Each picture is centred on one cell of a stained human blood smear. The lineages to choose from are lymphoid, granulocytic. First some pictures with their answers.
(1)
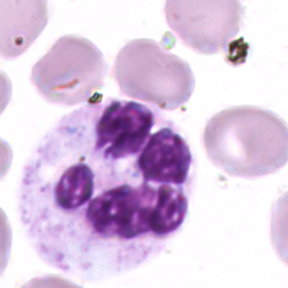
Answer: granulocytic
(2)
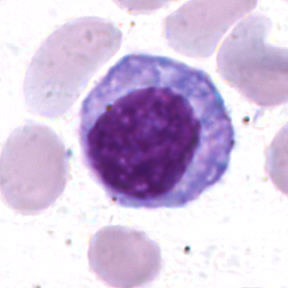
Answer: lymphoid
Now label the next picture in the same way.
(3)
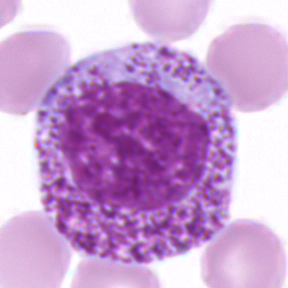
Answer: granulocytic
